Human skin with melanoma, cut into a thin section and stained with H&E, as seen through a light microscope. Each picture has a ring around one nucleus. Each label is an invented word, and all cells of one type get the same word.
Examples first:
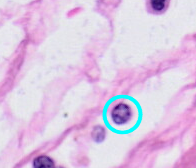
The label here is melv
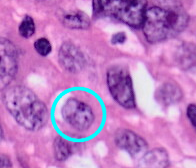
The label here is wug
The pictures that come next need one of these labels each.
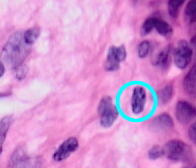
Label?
melv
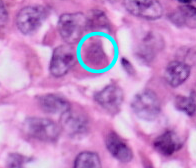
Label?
wug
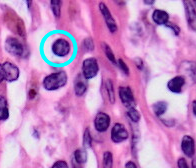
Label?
melv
